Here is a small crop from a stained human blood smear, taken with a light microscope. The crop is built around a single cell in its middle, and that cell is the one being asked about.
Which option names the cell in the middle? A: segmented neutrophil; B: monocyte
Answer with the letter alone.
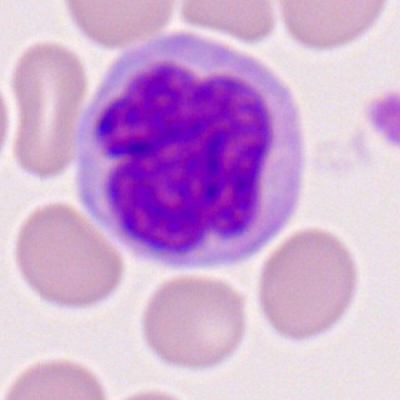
B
